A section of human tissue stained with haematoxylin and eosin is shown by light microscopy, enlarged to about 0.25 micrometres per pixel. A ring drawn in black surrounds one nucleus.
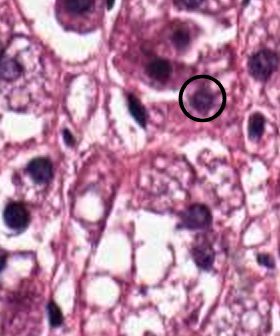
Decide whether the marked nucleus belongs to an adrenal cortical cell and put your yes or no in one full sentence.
Yes, an adrenal cortical cell is what the marked nucleus belongs to.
